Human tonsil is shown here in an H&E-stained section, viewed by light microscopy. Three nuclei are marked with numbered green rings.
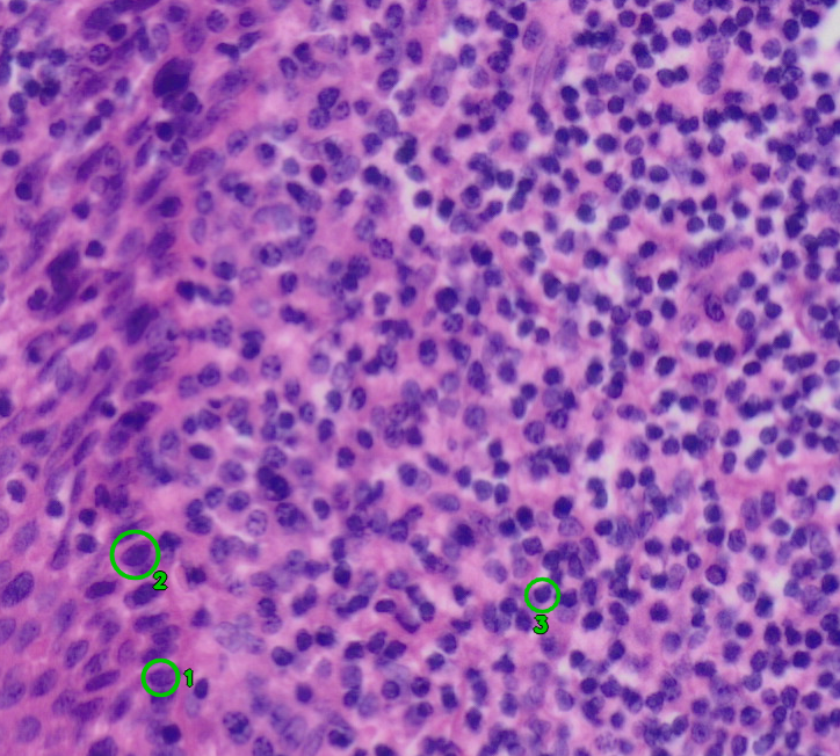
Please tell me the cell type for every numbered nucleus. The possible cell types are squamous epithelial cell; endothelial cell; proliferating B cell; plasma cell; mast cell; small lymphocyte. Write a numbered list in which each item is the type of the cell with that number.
1. squamous epithelial cell
2. squamous epithelial cell
3. small lymphocyte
